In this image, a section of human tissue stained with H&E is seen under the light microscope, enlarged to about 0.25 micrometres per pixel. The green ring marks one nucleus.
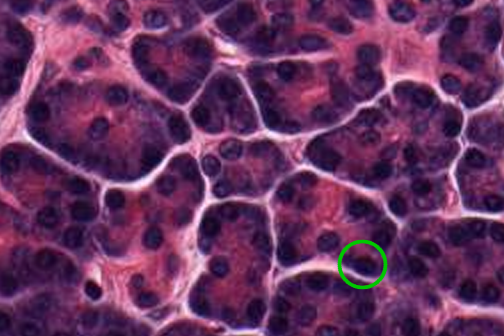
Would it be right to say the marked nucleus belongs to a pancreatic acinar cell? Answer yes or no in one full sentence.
Yes, the marked nucleus is a nucleus of a pancreatic acinar cell.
